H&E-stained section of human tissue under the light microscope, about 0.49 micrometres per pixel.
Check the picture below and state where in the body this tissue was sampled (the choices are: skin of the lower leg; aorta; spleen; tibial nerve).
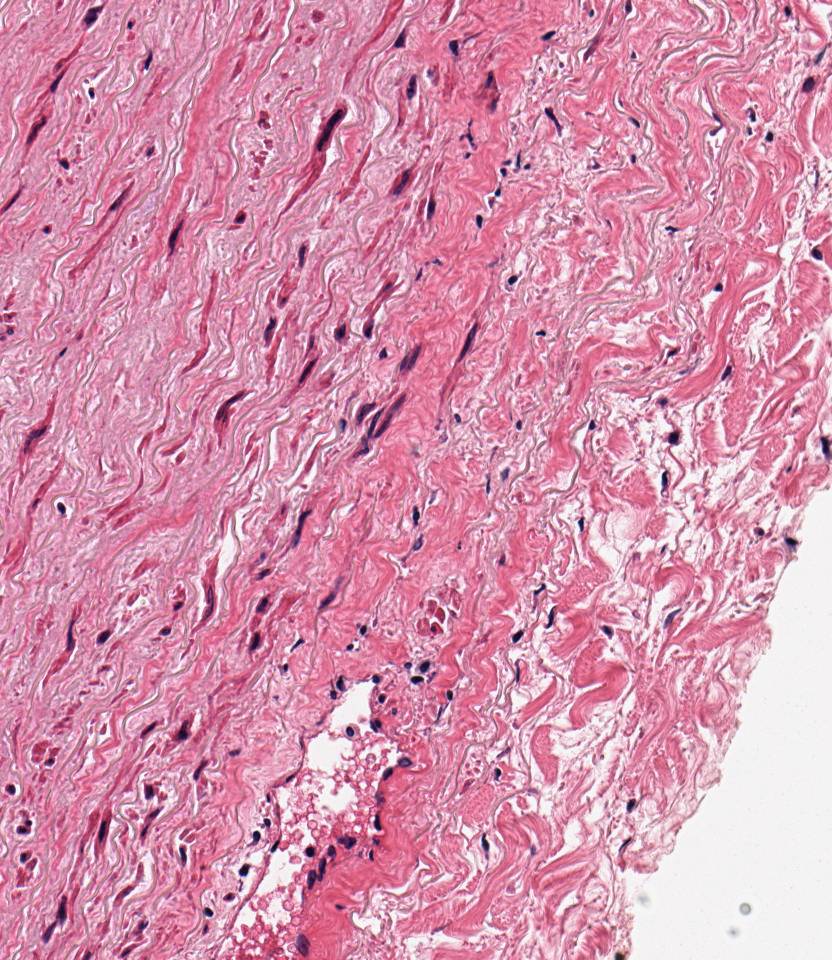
aorta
